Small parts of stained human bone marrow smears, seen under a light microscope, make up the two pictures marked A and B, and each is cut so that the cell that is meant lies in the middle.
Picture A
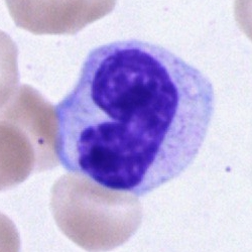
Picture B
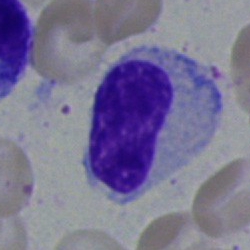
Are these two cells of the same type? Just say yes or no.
yes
